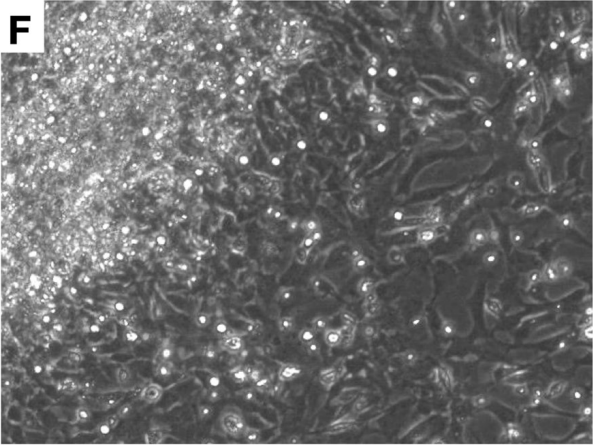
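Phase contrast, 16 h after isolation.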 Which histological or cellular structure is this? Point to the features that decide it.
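Large clump of cells. A bright, granular, densely packed mass fills the upper left part of the field. Outside this mass, flat spindle-shaped cells lie in a single layer.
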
